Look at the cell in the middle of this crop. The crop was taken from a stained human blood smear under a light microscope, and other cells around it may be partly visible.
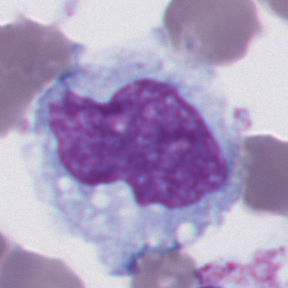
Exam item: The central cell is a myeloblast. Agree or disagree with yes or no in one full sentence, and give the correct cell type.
No, the cell placed at the center is a monocyte rather than a myeloblast.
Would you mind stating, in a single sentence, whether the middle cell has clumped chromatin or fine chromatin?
No coarse chromatin clumps are present; the pattern is fine.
